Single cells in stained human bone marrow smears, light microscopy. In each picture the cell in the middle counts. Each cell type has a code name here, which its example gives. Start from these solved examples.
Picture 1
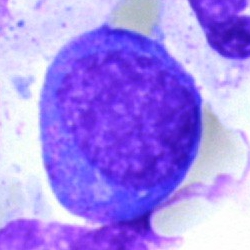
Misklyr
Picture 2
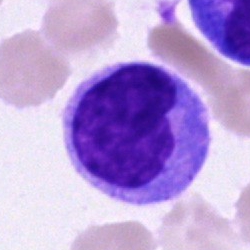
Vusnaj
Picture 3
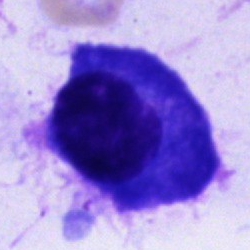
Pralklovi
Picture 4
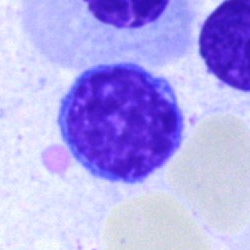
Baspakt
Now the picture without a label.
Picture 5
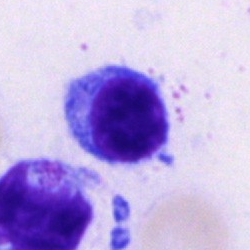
Baspakt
